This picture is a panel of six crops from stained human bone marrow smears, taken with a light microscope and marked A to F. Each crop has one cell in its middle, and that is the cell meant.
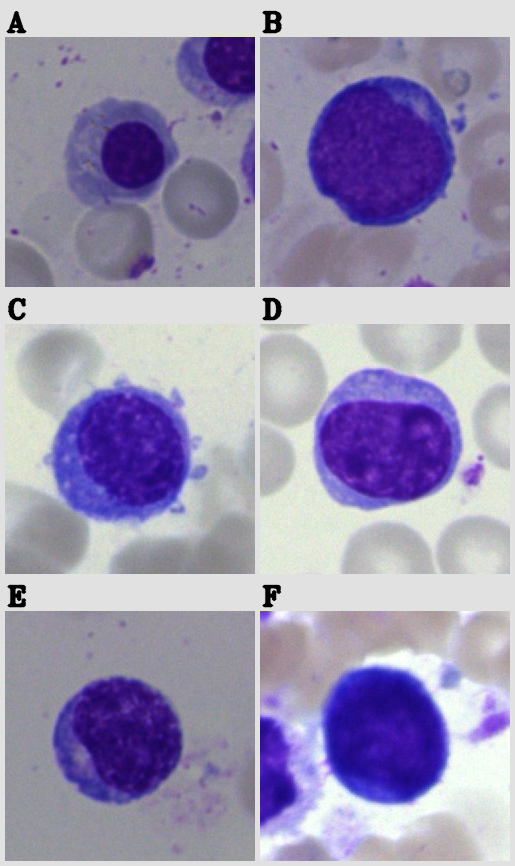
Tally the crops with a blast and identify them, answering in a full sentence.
Here, four crops in all show blasts: B, C, E and F.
